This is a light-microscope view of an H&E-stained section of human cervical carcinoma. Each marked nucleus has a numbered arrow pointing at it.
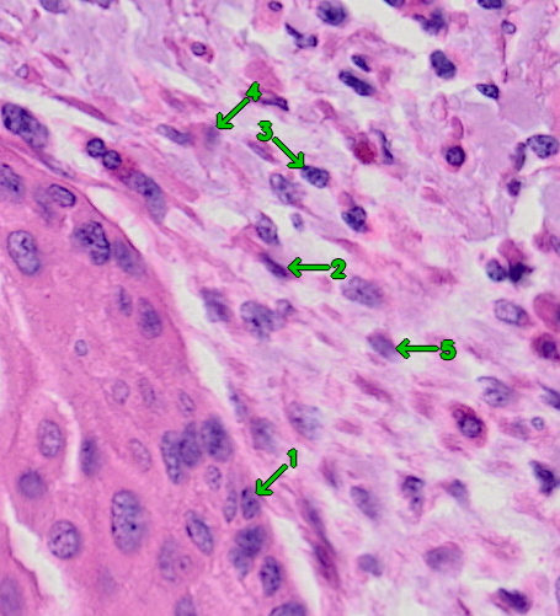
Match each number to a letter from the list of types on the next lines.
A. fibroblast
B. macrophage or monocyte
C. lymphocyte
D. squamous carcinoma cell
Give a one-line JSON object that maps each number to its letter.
{"1": "D", "2": "A", "3": "C", "4": "A", "5": "A"}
